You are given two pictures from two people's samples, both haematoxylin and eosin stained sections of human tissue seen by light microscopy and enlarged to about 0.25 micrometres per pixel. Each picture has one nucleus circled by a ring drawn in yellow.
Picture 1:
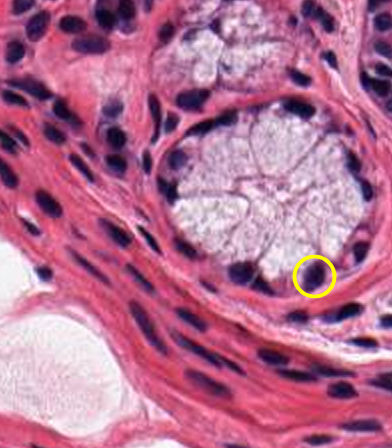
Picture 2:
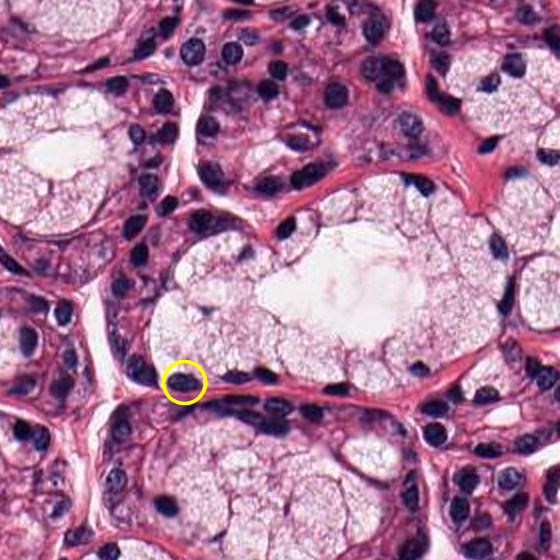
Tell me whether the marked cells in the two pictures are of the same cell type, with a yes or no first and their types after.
Yes, both are mucous gland cells.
